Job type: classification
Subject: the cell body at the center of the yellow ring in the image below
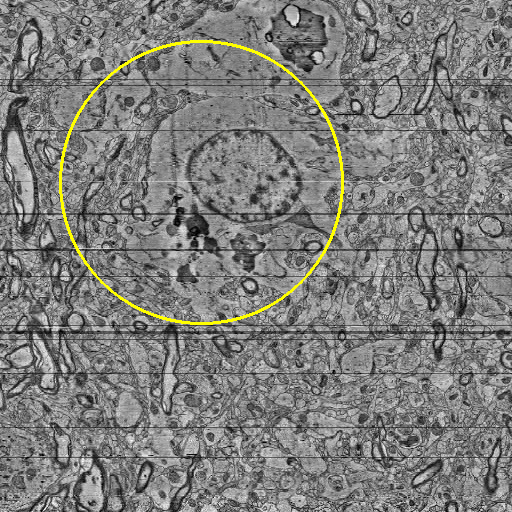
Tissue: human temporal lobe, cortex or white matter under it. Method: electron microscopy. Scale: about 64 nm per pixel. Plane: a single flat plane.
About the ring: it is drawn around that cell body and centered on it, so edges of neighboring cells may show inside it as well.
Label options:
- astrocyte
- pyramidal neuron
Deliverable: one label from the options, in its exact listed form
astrocyte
